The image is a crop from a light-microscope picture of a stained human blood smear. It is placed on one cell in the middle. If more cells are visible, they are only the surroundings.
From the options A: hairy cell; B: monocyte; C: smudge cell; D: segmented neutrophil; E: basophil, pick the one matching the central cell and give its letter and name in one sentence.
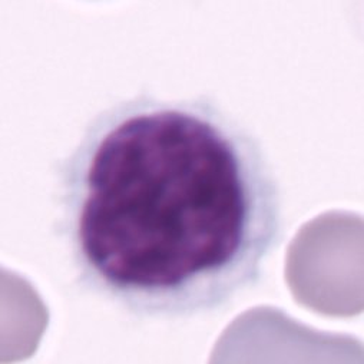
Option A holds, for the cell in the middle is a hairy cell.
